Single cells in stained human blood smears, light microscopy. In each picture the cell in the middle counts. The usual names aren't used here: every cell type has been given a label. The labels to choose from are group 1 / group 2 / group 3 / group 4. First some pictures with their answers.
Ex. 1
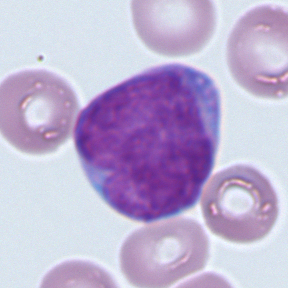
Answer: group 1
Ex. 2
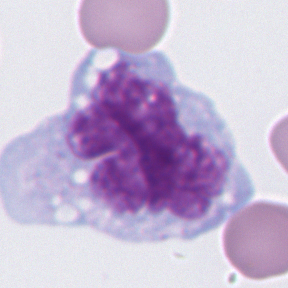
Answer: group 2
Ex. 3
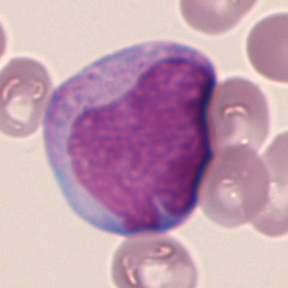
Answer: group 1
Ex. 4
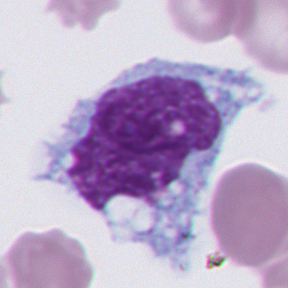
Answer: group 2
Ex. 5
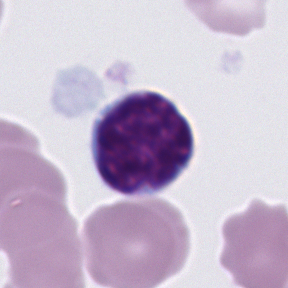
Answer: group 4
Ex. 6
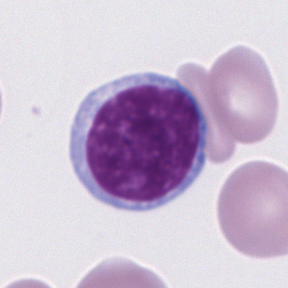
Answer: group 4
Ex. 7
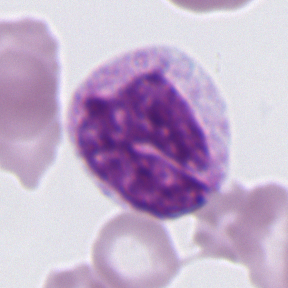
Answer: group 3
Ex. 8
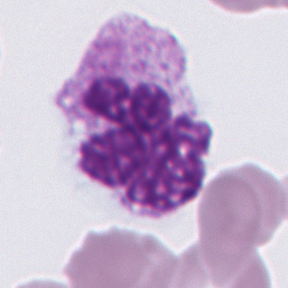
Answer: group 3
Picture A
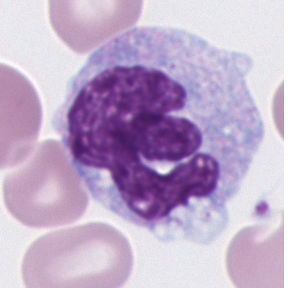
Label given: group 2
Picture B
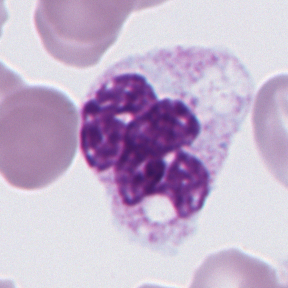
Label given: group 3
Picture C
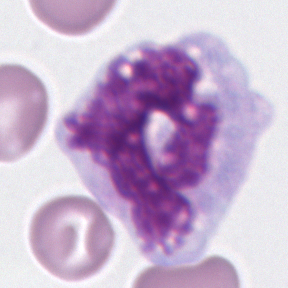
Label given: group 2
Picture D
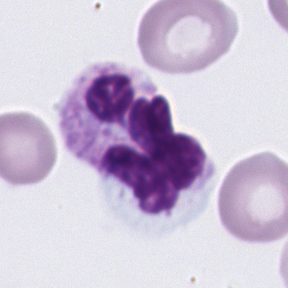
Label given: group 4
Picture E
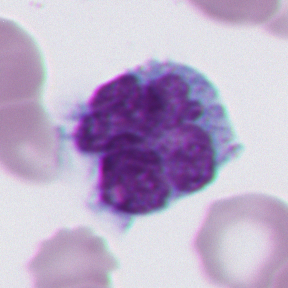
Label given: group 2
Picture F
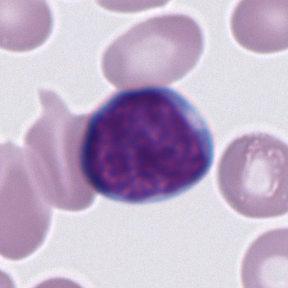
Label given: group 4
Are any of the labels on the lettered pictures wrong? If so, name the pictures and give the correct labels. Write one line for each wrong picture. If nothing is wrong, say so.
Wrong: D (group 4); correct: group 3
